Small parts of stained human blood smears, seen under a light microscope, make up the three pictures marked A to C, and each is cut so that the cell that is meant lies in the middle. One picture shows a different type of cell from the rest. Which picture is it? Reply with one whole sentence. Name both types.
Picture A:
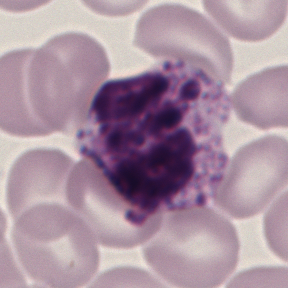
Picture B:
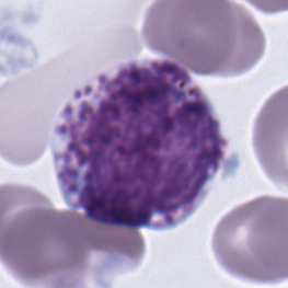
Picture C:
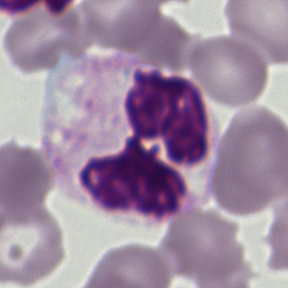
Picture C differs, because its cell is a segmented neutrophil and the rest are basophils.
